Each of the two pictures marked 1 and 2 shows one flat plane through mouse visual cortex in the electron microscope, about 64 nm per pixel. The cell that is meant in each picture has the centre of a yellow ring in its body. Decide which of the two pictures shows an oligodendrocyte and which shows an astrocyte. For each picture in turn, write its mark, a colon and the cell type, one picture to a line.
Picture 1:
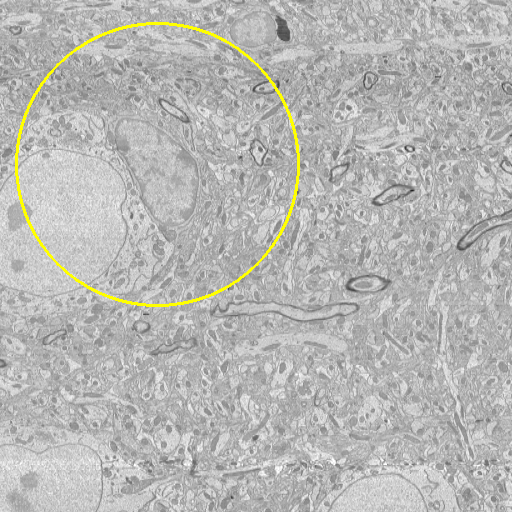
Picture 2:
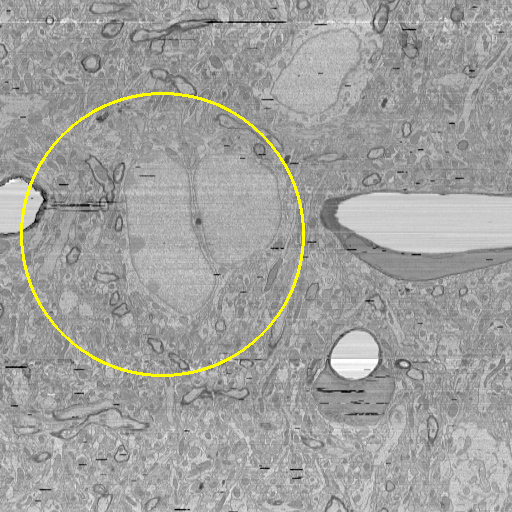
1: oligodendrocyte
2: astrocyte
